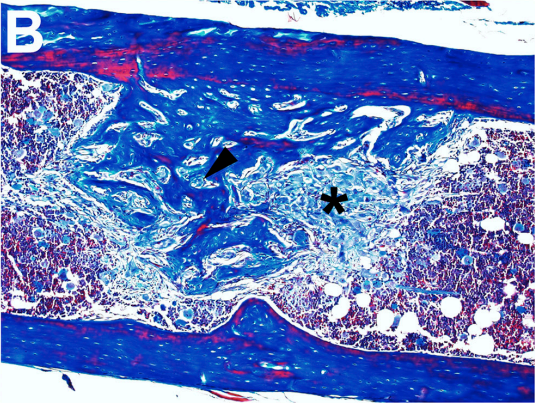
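Along the top and bottom runs the dense blue cortical bone. In the middle of the cavity lies a tangled mass of irregular blue-staining bony strands and pale, loose tissue, with the bone forming curved plates that enclose pockets of cells. Toward the left and right ends, the cavity still holds ordinary marrow, seen as densely packed small red-purple cells with scattered round empty fat spaces. The new bone inside the cavity is irregular and woven-looking, quite unlike the smooth layered cortex around it.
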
